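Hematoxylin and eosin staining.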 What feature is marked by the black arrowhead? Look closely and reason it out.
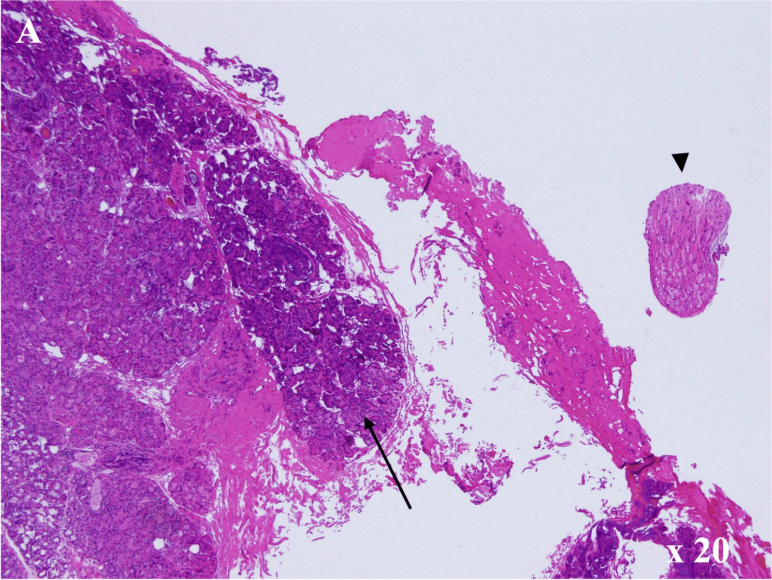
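Neural cords. The arrowhead marks a small, separate, rounded-oblong pink fragment. The fragment is made of wavy, parallel, longitudinally running fibres with scattered elongated nuclei.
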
